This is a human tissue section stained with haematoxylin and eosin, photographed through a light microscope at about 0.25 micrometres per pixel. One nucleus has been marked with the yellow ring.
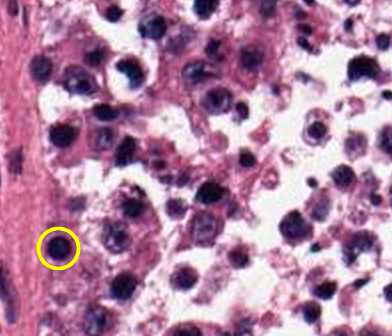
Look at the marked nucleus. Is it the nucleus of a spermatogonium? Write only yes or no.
yes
